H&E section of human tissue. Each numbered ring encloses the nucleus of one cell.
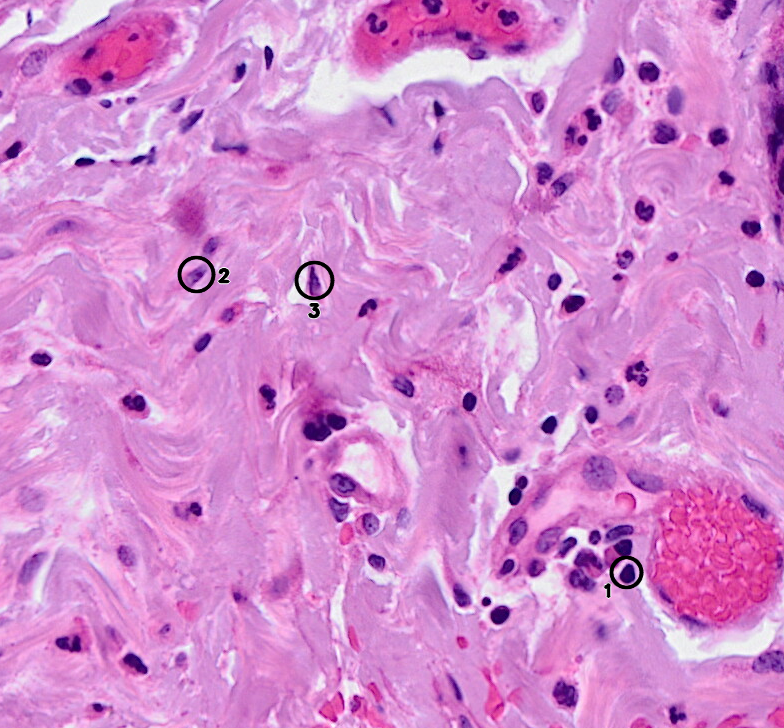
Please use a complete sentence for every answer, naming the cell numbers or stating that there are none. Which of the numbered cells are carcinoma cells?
In this section, none of the numbered cells are carcinoma cells.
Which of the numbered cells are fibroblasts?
The cells assigned the numbers 2 and 3 are fibroblasts.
